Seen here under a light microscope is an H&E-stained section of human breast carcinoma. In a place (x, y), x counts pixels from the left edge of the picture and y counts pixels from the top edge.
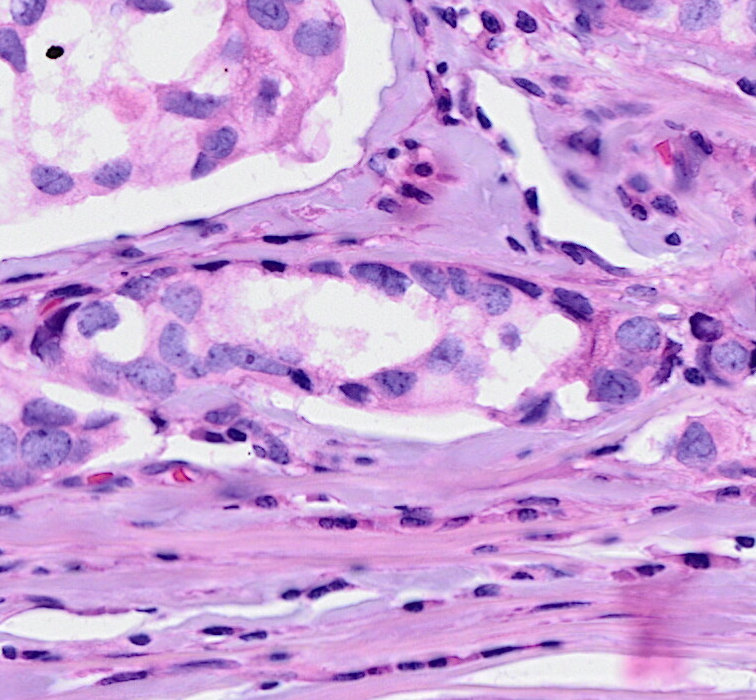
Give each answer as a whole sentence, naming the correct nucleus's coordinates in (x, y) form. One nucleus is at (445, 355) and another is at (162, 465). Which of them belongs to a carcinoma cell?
The correct choice is the nucleus at (445, 355), which belongs to a carcinoma cell.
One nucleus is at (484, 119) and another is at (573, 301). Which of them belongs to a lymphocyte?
At (484, 119) lies the nucleus that belongs to a lymphocyte.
